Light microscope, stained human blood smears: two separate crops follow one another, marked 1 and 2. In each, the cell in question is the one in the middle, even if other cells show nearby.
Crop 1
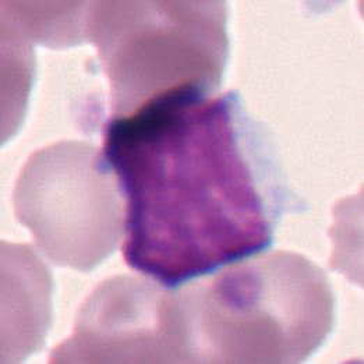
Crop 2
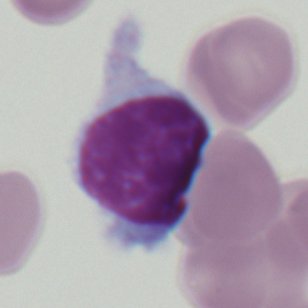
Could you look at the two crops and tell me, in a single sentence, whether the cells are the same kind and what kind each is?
Yes, the centred cells are typical lymphocytes in both crops.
